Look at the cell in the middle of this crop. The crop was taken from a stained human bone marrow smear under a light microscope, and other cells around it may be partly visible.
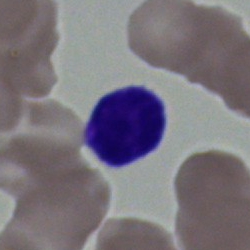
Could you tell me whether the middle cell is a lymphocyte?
yes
